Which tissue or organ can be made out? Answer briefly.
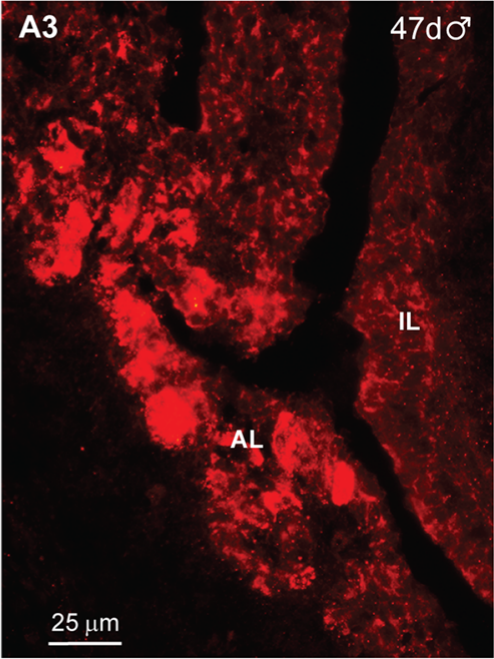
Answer: Pituitary.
